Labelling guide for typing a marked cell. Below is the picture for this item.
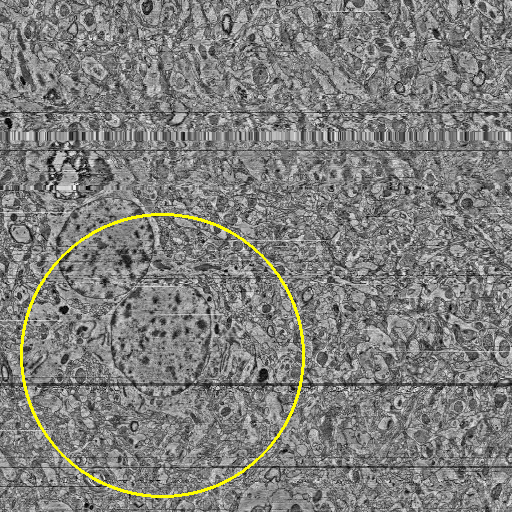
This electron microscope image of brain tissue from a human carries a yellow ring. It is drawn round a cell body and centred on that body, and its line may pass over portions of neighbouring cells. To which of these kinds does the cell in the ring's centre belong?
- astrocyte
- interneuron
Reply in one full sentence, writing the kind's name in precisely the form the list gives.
Here we have an astrocyte at the centre of the yellow ring in the picture.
